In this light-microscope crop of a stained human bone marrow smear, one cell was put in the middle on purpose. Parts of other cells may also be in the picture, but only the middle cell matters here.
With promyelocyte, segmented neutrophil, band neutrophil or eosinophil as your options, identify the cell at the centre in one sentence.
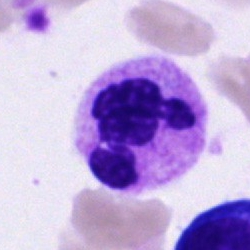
What the crop centres on is a segmented neutrophil.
